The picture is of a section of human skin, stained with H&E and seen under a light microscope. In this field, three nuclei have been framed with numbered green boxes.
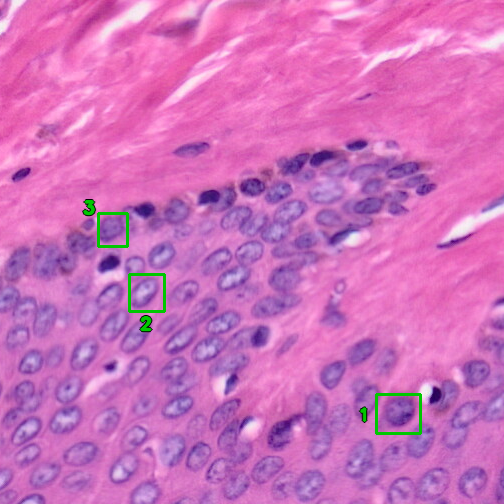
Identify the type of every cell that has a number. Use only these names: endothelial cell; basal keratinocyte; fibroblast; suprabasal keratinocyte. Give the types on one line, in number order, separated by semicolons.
basal keratinocyte; suprabasal keratinocyte; basal keratinocyte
